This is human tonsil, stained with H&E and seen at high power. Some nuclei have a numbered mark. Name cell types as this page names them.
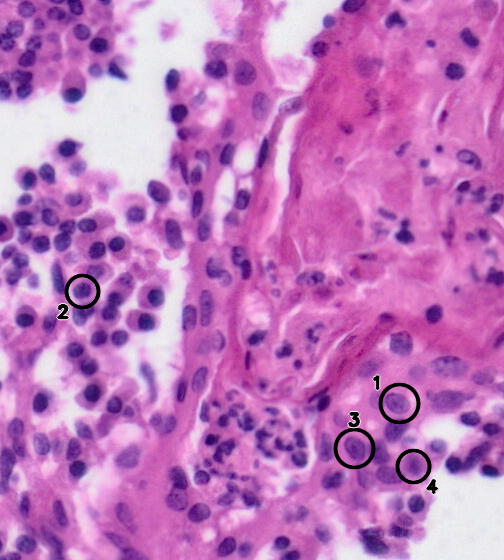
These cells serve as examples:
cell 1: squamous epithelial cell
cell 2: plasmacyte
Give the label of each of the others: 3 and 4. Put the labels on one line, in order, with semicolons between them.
squamous epithelial cell; squamous epithelial cell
